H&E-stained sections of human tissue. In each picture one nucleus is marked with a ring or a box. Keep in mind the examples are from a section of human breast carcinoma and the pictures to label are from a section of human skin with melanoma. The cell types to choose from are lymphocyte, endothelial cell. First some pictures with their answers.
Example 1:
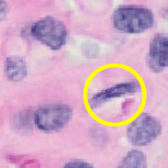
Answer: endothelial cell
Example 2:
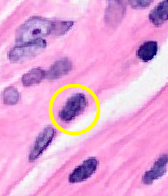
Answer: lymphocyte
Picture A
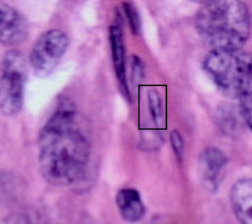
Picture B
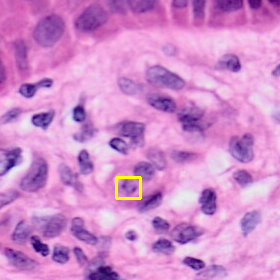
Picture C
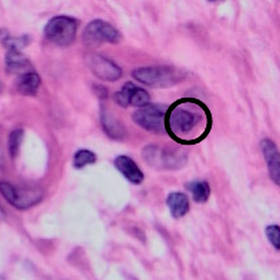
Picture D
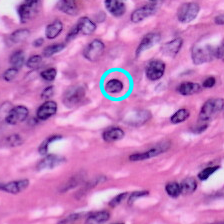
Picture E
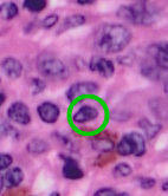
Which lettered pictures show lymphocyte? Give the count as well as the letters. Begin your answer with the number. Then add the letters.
Count: 2 (D, E)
